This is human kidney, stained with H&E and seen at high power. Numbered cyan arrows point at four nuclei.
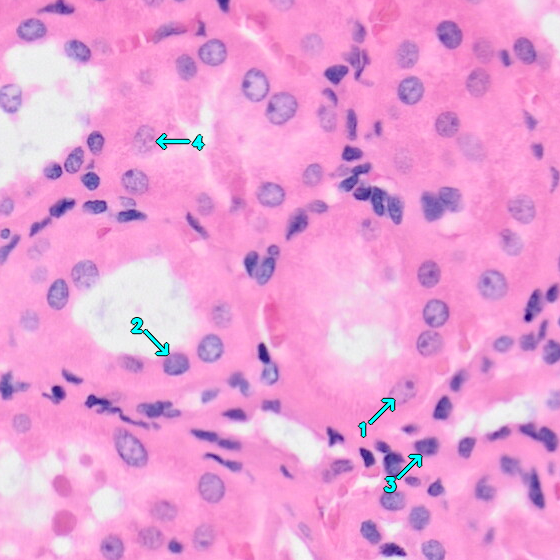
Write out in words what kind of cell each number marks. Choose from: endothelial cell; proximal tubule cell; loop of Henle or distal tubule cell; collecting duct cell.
Cell 1 is a proximal tubule cell, cell 2 is a loop of Henle or distal tubule cell, cell 3 is a collecting duct cell and cell 4 is a proximal tubule cell.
